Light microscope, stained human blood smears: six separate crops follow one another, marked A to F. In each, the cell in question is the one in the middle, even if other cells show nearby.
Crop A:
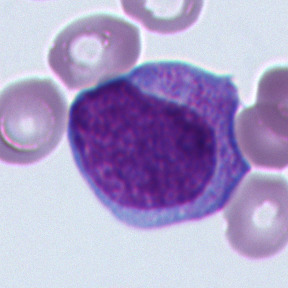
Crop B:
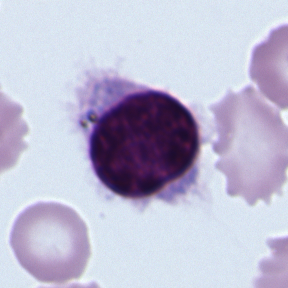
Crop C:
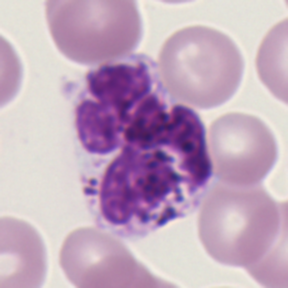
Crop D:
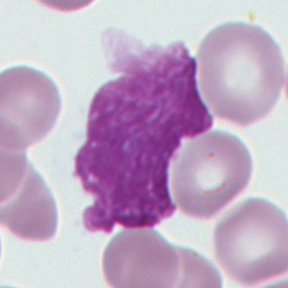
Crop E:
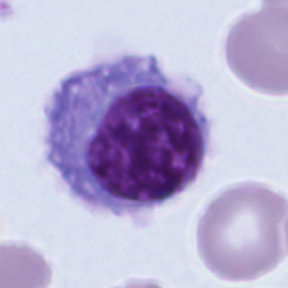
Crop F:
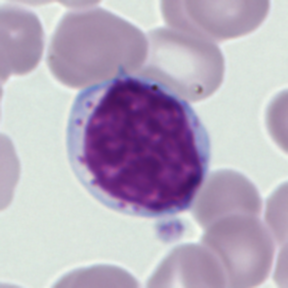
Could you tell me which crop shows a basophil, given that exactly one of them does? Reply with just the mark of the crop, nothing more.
C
